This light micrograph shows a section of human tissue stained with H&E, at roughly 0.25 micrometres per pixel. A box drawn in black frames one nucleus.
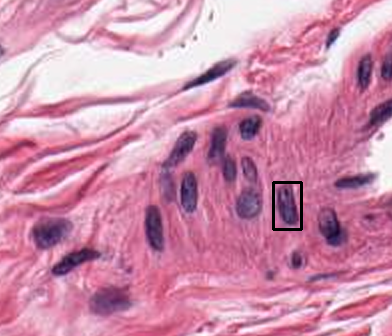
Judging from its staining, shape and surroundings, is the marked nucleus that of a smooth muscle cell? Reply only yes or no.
yes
